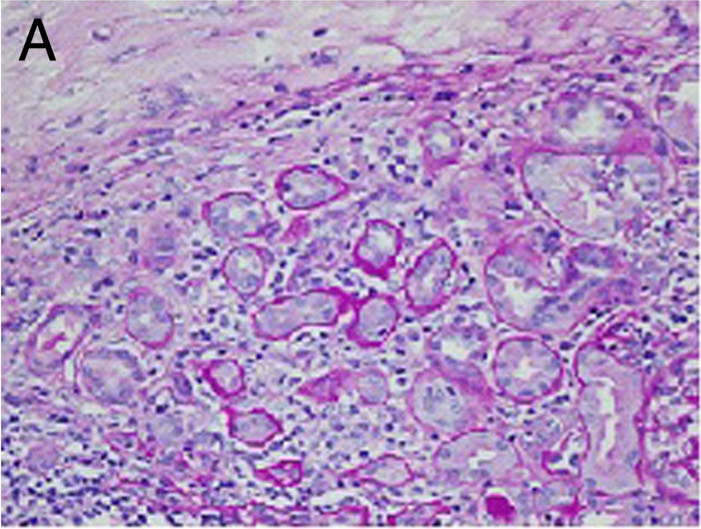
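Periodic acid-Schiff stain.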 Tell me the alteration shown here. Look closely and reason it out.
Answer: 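Tubular atrophy. Many tubules are small and shrunken with narrow lumens. Tubules are outlined by thick magenta basement membranes. Tubules lie widely separated by interstitial tissue.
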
